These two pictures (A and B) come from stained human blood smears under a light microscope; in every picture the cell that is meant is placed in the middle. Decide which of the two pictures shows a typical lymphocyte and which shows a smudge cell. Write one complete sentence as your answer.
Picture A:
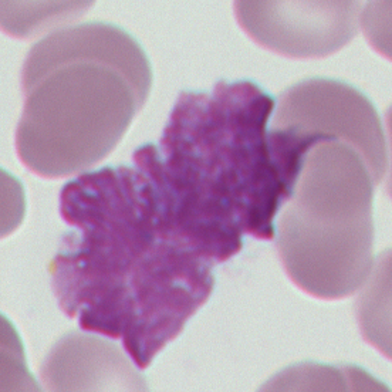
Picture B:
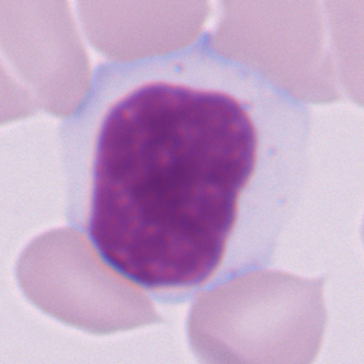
Picture A is of a smudge cell, and picture B is of a typical lymphocyte.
